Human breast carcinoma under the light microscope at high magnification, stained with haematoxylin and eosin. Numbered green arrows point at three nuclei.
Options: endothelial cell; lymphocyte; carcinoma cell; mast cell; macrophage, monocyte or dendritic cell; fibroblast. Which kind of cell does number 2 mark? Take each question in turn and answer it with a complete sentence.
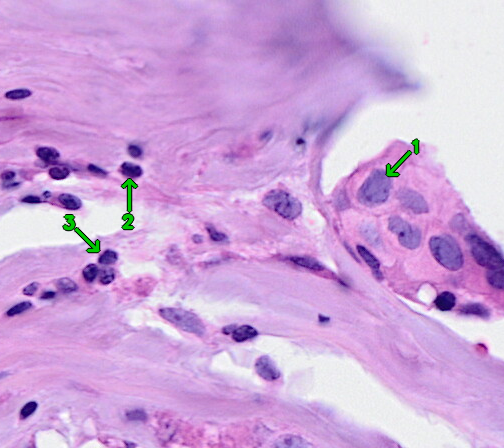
Nucleus 2 in this section belongs to a lymphocyte.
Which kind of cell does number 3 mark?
In this section, number 3 marks a lymphocyte.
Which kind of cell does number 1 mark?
Denoted by the label 1 in the section is a carcinoma cell.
